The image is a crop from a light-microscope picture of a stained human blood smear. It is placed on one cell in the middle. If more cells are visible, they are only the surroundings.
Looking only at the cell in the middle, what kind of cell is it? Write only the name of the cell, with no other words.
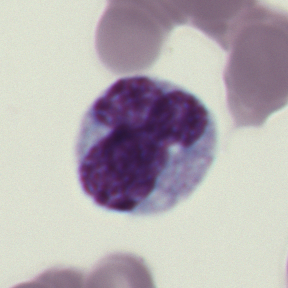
monocyte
